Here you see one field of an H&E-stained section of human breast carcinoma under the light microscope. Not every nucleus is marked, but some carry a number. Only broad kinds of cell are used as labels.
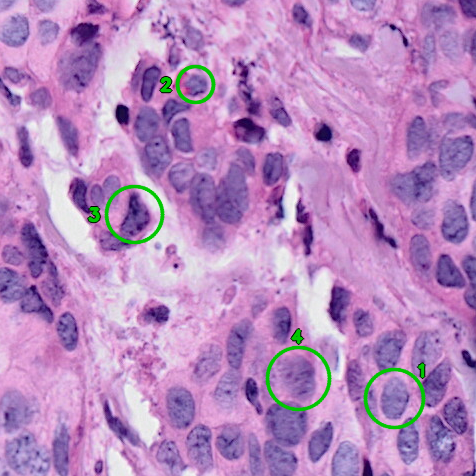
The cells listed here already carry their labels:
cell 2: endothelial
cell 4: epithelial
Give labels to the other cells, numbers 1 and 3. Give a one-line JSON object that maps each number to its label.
{"1": "epithelial", "3": "epithelial"}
